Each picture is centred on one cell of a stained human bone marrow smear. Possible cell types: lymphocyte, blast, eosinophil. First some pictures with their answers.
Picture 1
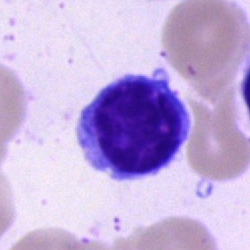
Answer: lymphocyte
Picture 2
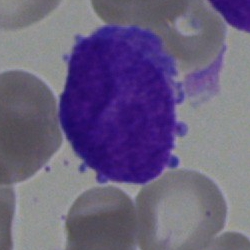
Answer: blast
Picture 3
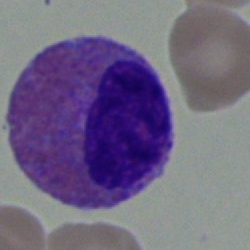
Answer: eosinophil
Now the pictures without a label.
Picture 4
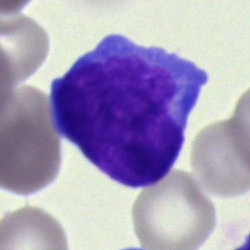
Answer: blast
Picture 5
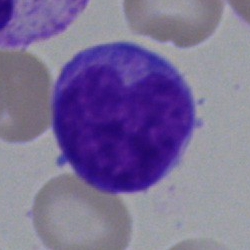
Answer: blast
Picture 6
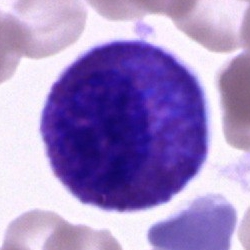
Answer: eosinophil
